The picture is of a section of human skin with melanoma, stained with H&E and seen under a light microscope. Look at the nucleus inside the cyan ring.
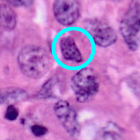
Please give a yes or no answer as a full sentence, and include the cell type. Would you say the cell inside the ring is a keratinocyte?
No, what the cell inside the ring represents is a melanoma cell rather than a keratinocyte.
